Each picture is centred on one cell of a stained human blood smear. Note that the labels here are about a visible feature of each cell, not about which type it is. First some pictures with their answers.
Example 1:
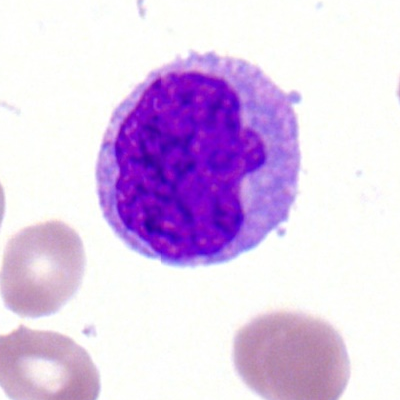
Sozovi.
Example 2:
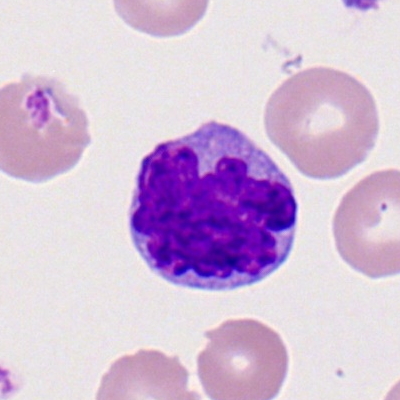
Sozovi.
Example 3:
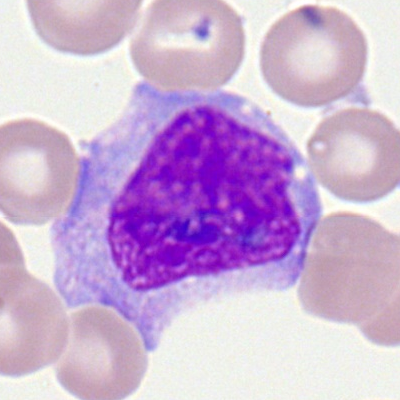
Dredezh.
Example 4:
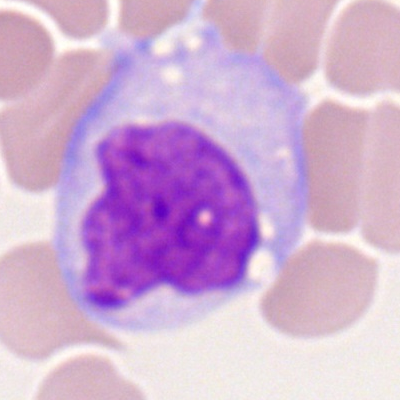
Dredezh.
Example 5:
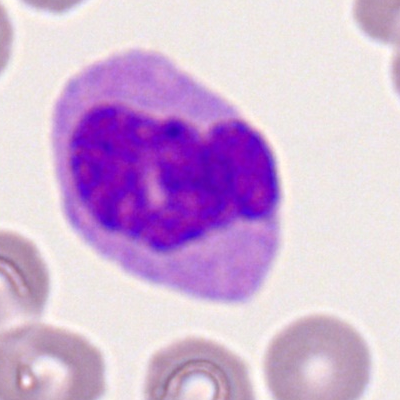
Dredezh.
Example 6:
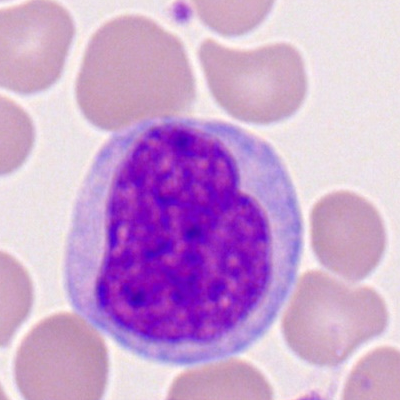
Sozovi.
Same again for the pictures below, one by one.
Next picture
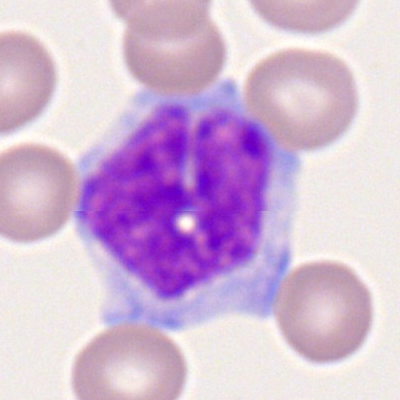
Sozovi.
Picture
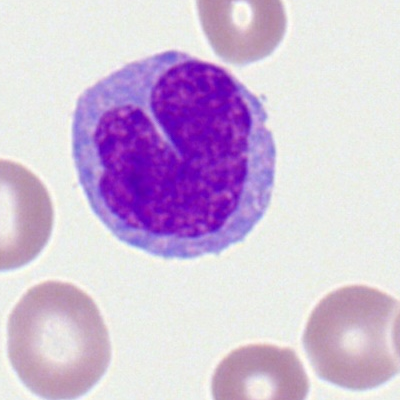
Sozovi.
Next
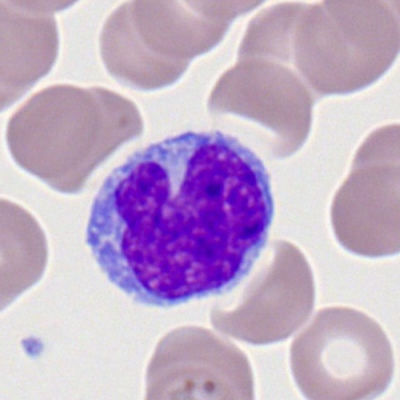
Sozovi.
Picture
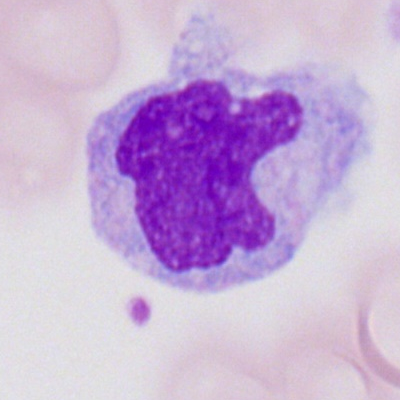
Dredezh.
